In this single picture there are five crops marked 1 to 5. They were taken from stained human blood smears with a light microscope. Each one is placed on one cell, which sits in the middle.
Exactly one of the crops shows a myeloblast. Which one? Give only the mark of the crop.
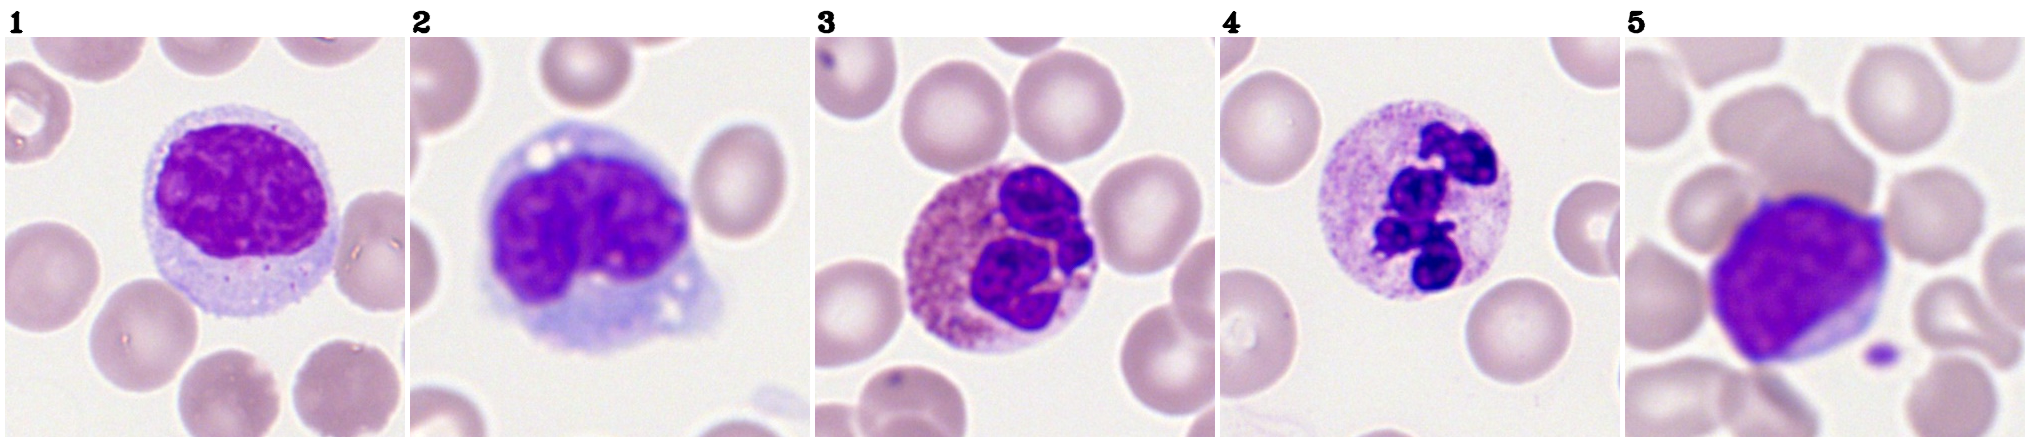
5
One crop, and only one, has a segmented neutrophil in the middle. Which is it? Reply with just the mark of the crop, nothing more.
4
